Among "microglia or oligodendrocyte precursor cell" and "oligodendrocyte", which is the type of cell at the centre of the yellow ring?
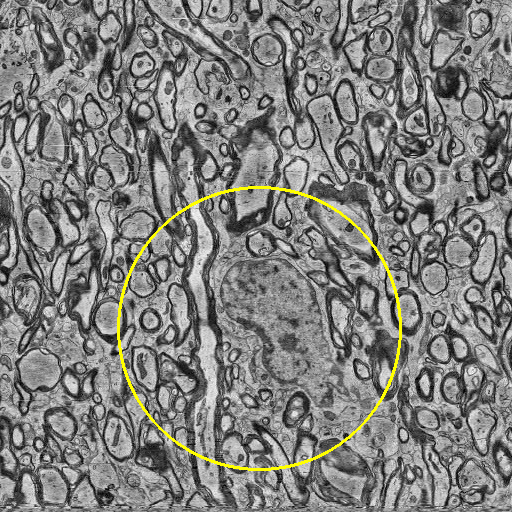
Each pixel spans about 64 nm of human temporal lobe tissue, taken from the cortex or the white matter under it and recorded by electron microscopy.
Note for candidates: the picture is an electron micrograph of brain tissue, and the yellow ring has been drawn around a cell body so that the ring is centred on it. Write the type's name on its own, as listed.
microglia or oligodendrocyte precursor cell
